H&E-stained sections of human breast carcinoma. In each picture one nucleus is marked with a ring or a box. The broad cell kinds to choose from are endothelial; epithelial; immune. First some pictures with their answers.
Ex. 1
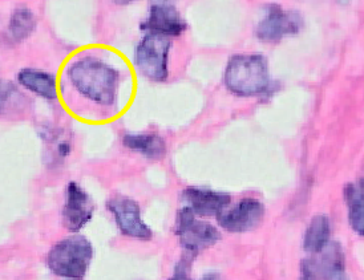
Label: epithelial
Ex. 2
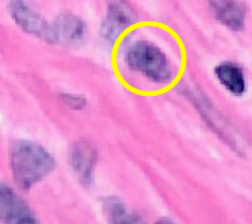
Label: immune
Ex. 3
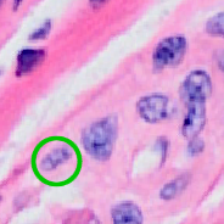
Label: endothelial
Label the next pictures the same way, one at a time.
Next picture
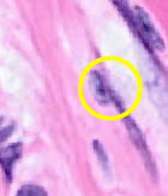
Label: endothelial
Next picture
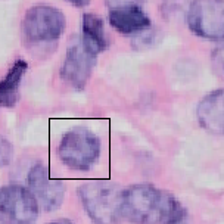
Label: epithelial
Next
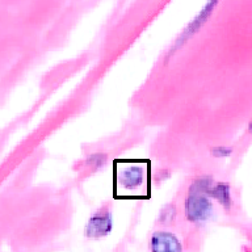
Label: immune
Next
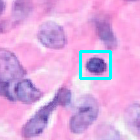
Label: immune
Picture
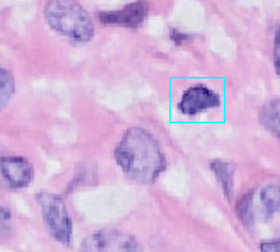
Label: immune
